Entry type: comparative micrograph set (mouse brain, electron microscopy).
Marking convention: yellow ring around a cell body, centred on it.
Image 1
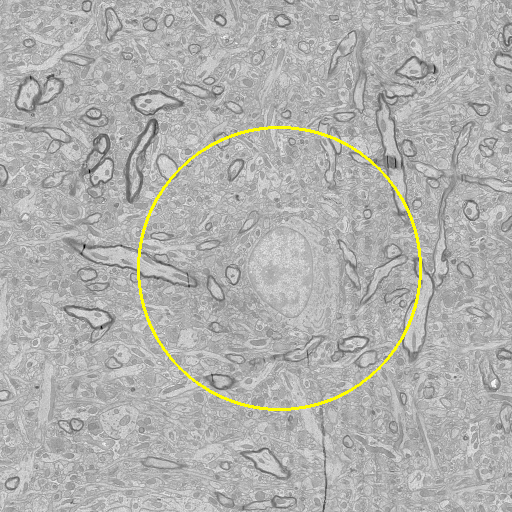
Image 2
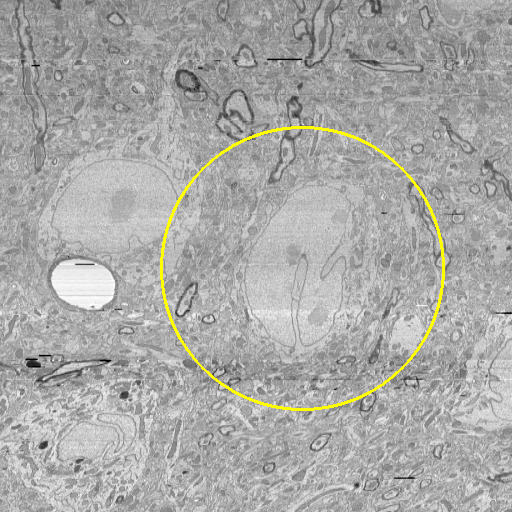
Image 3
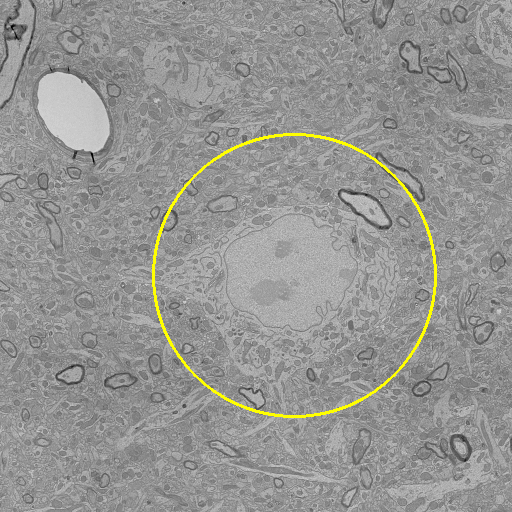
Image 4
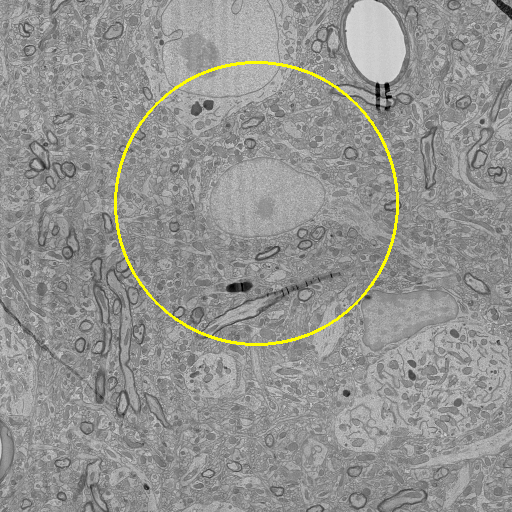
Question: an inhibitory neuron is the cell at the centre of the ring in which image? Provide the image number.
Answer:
3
